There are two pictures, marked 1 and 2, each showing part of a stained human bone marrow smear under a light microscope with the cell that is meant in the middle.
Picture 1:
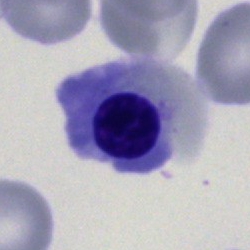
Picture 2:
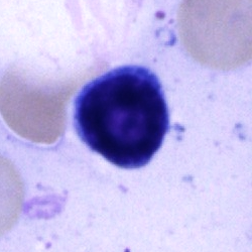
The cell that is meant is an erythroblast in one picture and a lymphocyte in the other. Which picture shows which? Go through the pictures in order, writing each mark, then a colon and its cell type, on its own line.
1: erythroblast
2: lymphocyte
